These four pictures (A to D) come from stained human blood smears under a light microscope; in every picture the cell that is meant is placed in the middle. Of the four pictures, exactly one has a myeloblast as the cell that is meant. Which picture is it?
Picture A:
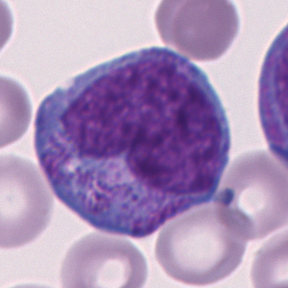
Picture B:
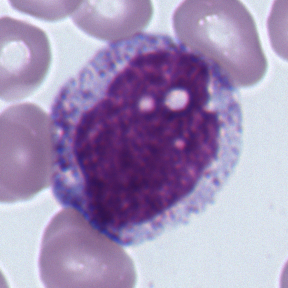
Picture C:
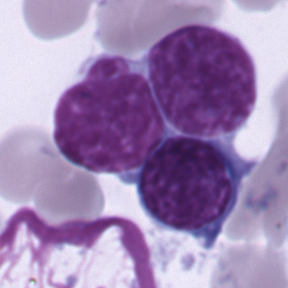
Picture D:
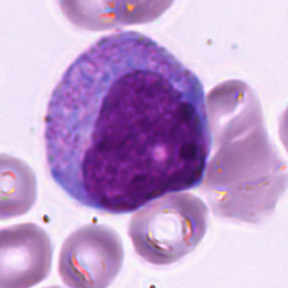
C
